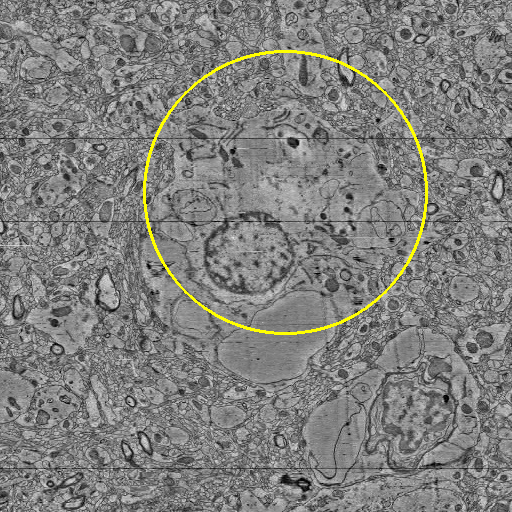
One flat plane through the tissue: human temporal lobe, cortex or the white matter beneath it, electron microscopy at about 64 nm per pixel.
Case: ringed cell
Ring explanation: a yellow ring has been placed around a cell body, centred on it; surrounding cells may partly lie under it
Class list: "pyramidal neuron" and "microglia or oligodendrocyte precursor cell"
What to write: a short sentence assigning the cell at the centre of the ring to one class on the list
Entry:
The cell at the ring's centre is a microglial cell or oligodendrocyte precursor cell.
